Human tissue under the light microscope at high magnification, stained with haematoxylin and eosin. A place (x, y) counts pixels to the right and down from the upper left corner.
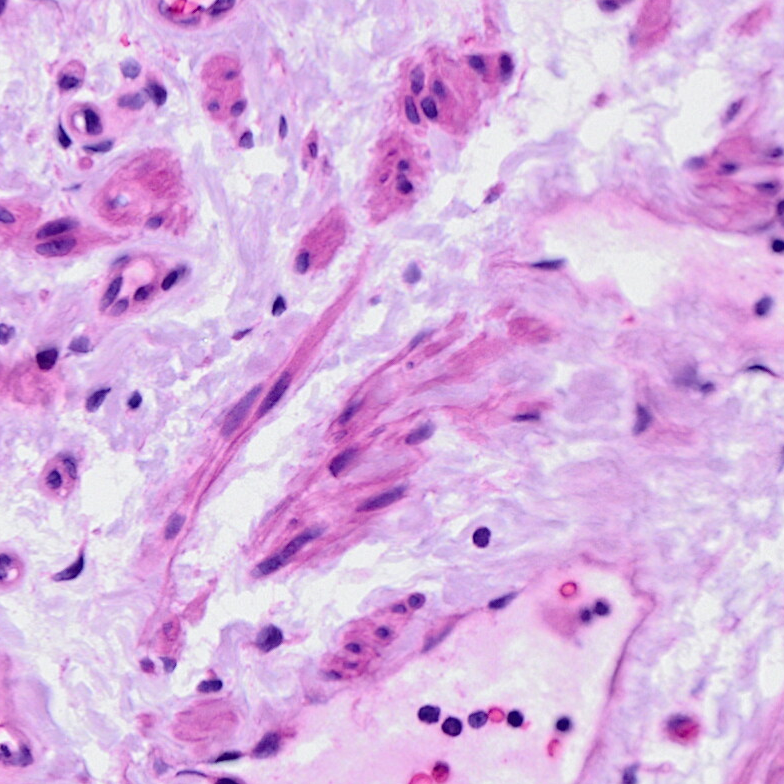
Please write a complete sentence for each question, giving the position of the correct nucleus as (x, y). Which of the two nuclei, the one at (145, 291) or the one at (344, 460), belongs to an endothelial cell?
The nucleus of an endothelial cell lies at (145, 291), not at the other position.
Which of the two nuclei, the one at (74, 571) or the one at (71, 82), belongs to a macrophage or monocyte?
In this pair, the nucleus at (71, 82) belongs to a macrophage or monocyte.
